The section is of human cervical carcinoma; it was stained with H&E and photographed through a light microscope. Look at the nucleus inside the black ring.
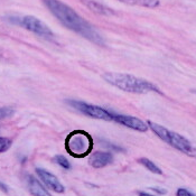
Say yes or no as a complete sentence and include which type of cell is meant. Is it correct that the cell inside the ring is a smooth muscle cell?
Yes, classifying the cell inside the ring as a smooth muscle cell is accurate.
